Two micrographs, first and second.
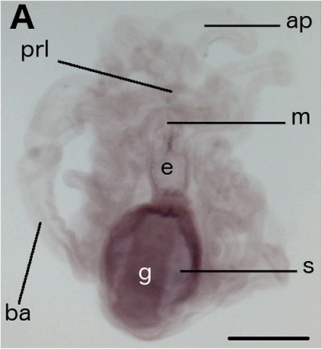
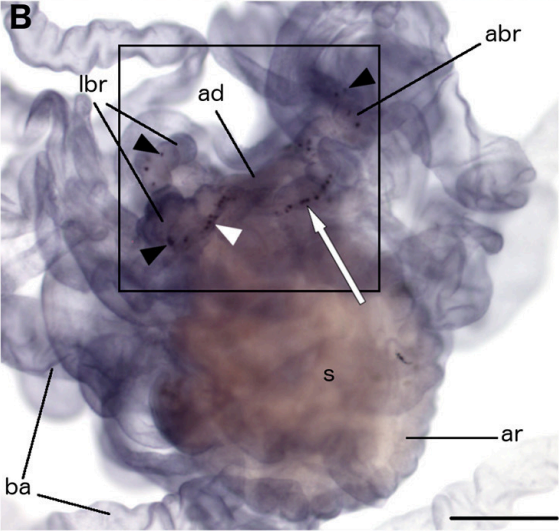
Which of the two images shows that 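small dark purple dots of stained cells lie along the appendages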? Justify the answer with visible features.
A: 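Second image: rows of small dark dots run along the anterior appendages and near the disc.
Conclusion: the second image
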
